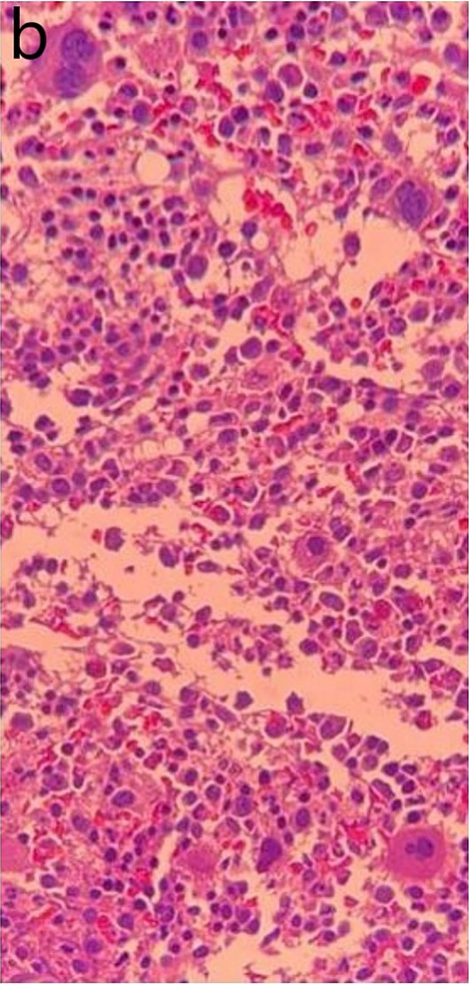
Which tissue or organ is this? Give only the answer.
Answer: Bone marrow.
